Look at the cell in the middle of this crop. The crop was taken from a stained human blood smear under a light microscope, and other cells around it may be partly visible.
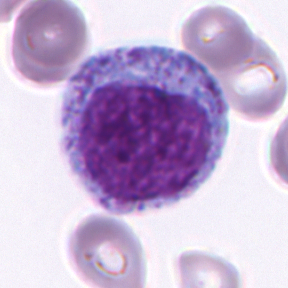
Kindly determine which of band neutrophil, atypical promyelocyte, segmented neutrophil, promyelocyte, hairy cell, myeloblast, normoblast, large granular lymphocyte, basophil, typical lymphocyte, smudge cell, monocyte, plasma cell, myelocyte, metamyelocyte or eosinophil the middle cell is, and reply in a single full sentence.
Within this crop, a promyelocyte occupies the central position.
